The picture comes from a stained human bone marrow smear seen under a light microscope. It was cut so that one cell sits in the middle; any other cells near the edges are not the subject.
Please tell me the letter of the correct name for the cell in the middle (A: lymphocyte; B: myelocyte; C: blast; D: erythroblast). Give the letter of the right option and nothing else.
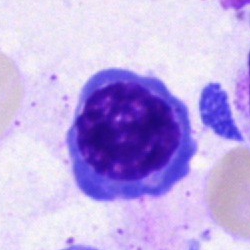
D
